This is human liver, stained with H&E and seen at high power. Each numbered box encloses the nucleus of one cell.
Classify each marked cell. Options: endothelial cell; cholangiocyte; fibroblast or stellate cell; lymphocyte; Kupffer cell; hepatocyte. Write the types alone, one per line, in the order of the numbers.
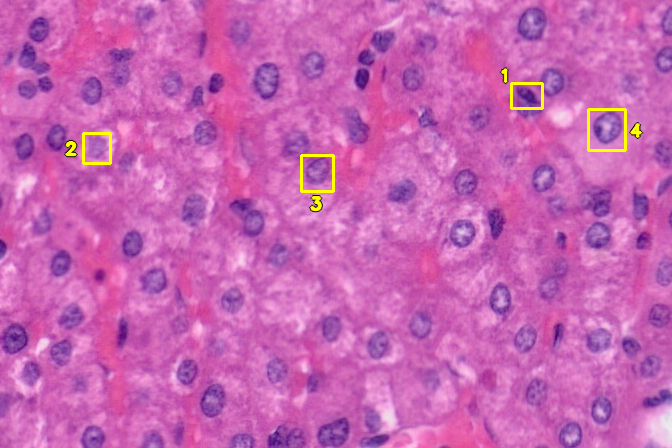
fibroblast or stellate cell
hepatocyte
hepatocyte
hepatocyte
